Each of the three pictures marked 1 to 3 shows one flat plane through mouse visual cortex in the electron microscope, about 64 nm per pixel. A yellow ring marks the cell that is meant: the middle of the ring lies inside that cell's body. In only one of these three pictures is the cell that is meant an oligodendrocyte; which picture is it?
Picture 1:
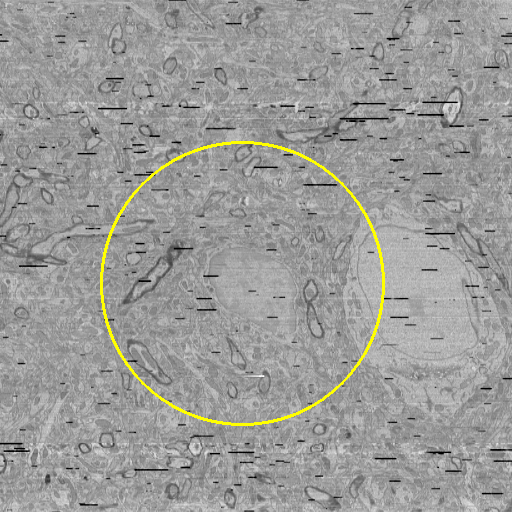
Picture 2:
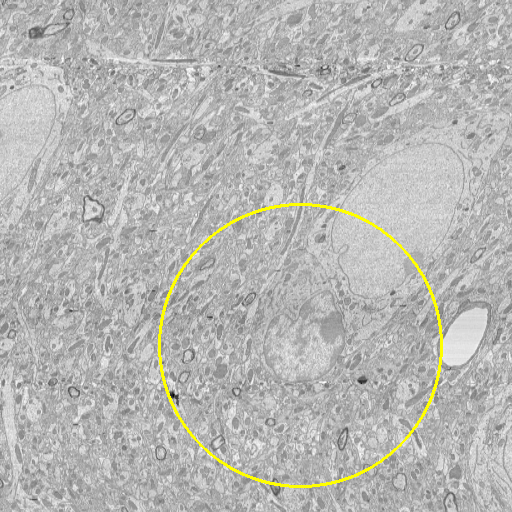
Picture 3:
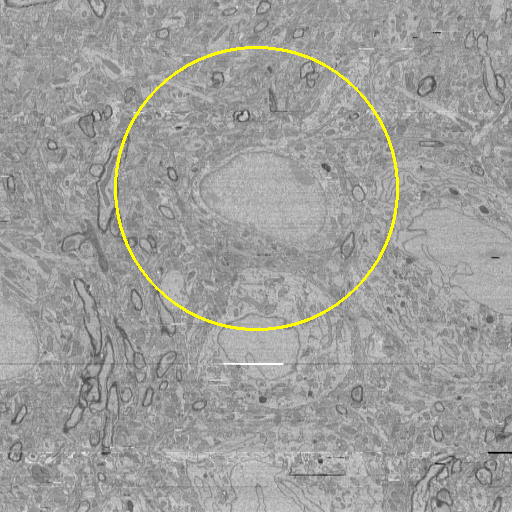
The oligodendrocyte is the one in picture 2.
